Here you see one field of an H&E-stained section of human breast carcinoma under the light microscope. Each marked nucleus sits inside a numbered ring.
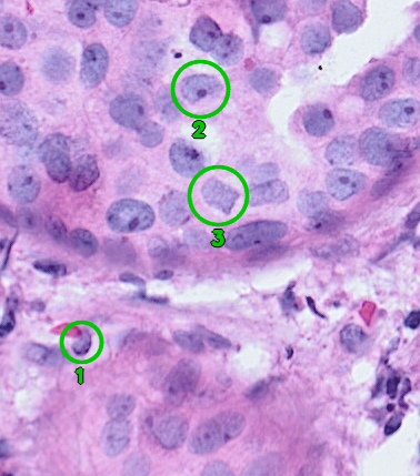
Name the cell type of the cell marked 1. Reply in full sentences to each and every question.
In this section, number 1 marks an endothelial cell.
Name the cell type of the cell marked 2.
The cell carrying label 2 is identified as a carcinoma cell.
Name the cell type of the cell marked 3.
The one numbered 3 among the marked cells is a carcinoma cell.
